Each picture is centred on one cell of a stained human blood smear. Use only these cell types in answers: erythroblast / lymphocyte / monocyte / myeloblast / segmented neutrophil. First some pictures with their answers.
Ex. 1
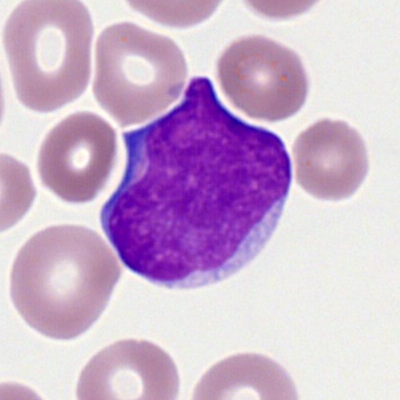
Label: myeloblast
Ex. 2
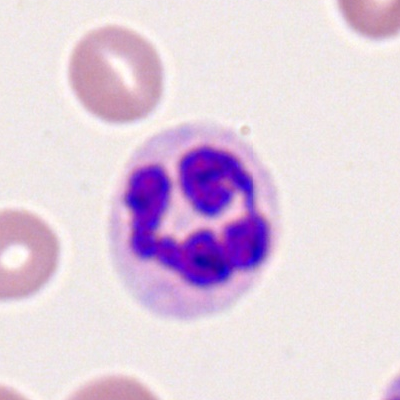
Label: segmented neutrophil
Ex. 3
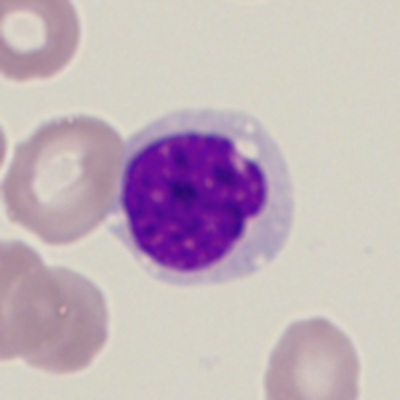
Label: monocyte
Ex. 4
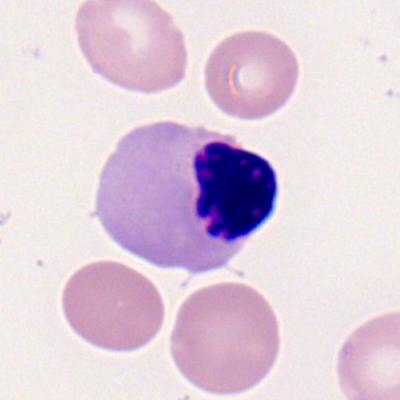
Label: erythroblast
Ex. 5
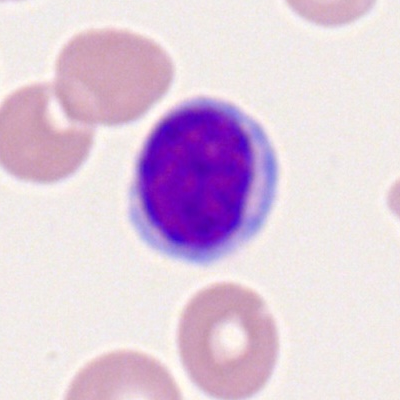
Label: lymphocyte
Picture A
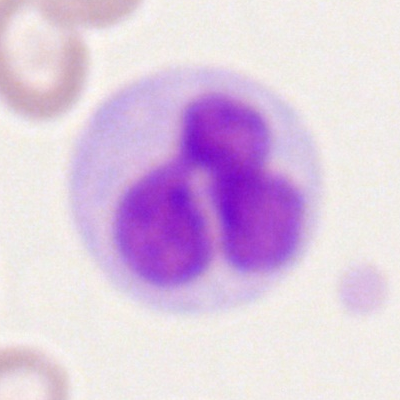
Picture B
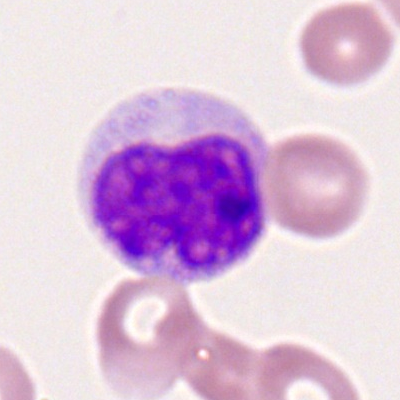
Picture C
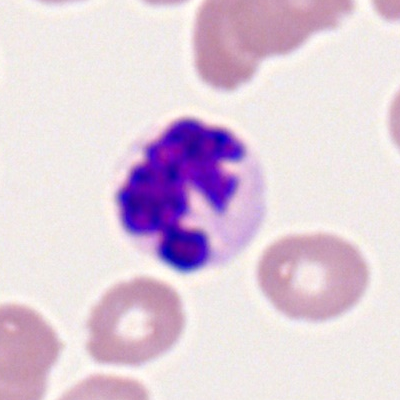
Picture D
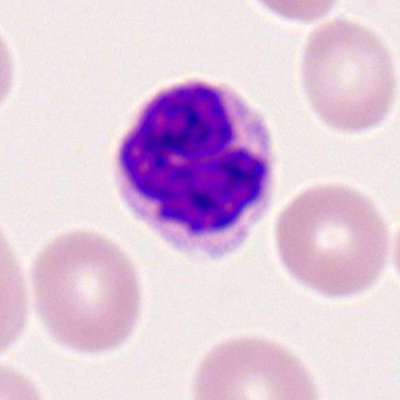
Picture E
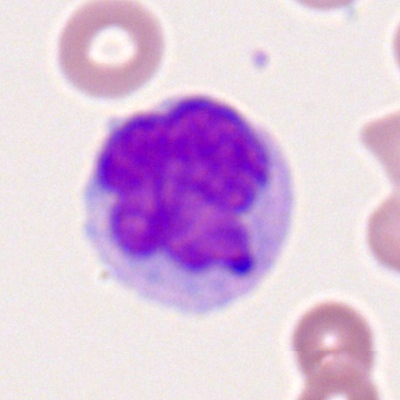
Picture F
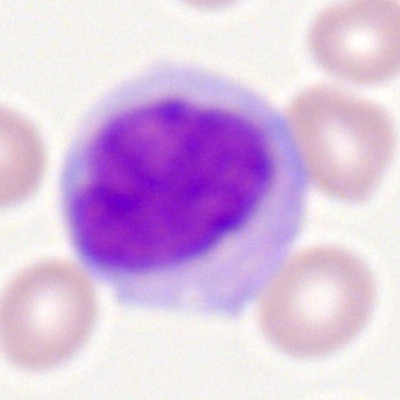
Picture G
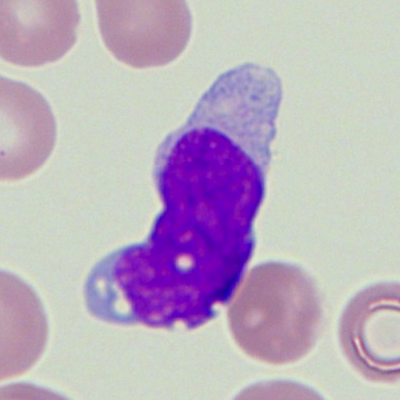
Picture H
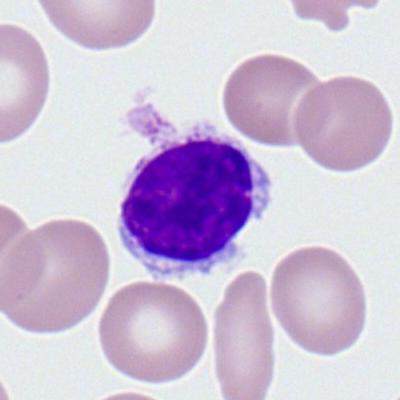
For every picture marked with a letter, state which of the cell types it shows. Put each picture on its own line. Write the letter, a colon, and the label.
A: monocyte
B: monocyte
C: segmented neutrophil
D: segmented neutrophil
E: monocyte
F: monocyte
G: monocyte
H: lymphocyte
